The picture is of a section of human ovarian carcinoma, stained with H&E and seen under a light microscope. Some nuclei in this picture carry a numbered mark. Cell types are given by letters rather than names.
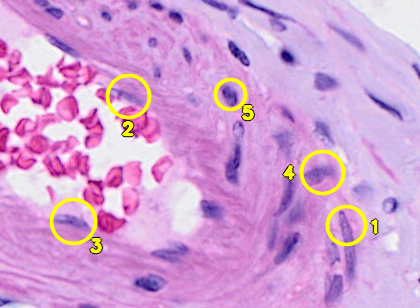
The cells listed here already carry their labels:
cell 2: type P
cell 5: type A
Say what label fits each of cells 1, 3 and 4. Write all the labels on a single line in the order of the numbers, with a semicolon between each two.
type A; type P; type A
